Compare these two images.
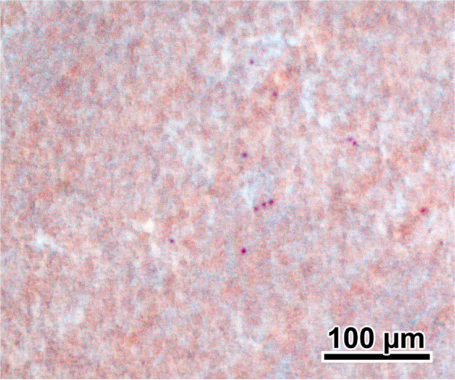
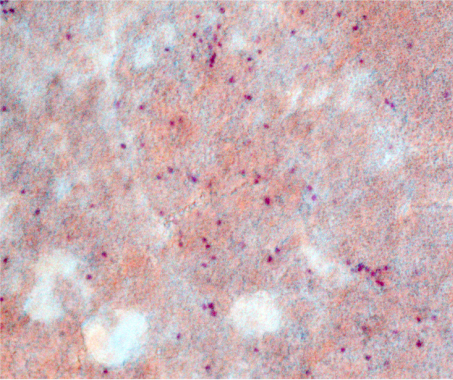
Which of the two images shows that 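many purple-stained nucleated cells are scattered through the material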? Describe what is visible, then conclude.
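Second image: numerous small purple dots scattered across the field, some in small groups. First image: only a few isolated purple dots in a largely uniform pinkish field. On this evidence: the second image.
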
